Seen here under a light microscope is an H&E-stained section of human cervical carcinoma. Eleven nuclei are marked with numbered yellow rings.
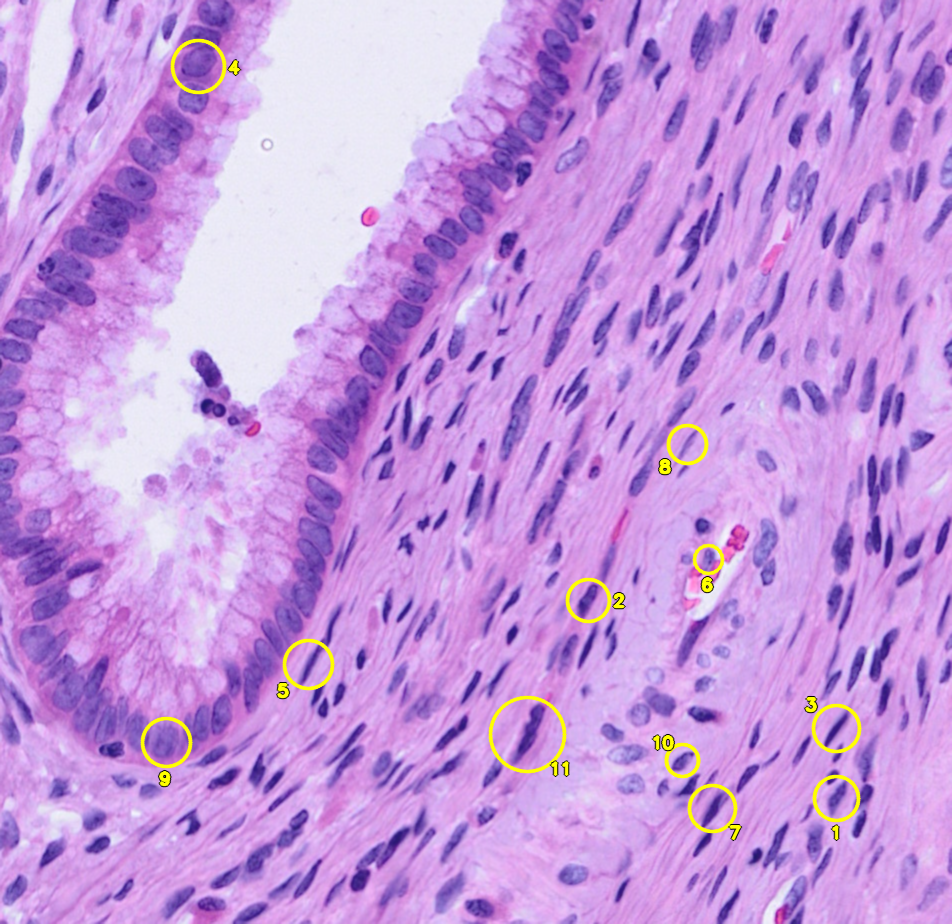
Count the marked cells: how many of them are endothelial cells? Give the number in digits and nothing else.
3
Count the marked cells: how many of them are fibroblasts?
6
